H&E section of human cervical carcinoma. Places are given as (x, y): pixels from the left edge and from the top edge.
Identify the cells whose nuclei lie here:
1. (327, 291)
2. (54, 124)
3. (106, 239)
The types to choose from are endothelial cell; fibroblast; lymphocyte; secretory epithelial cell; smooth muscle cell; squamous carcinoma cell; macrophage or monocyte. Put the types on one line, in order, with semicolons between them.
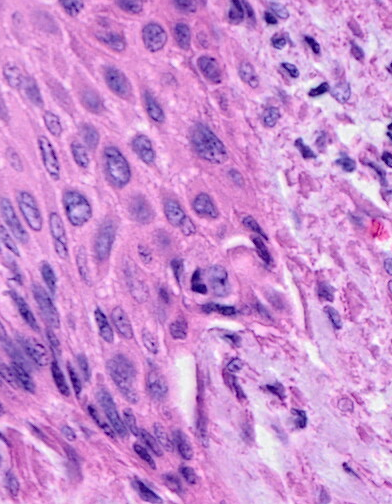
fibroblast; squamous carcinoma cell; squamous carcinoma cell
